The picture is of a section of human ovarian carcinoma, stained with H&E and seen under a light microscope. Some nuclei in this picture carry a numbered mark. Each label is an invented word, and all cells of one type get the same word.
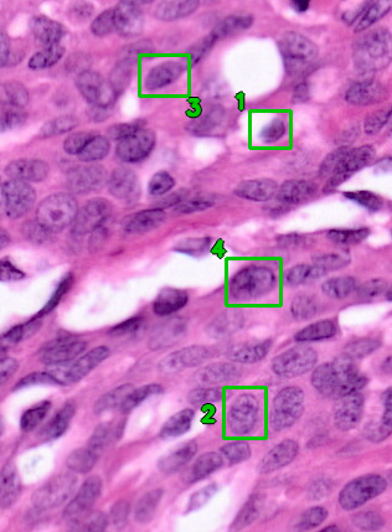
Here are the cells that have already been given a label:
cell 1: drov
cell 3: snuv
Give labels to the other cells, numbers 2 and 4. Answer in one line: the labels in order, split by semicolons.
drov; drov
